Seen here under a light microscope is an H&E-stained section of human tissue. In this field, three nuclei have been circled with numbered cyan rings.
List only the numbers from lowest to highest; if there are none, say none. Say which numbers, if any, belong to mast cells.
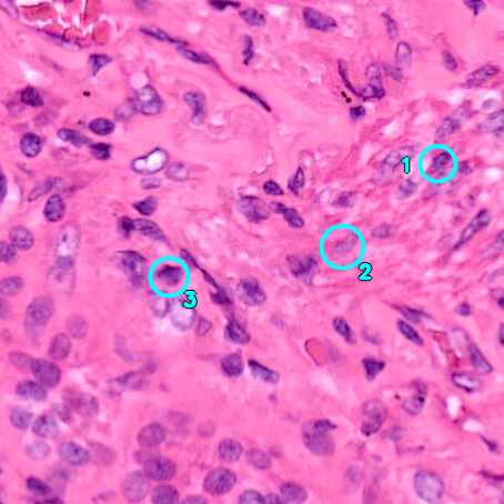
3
